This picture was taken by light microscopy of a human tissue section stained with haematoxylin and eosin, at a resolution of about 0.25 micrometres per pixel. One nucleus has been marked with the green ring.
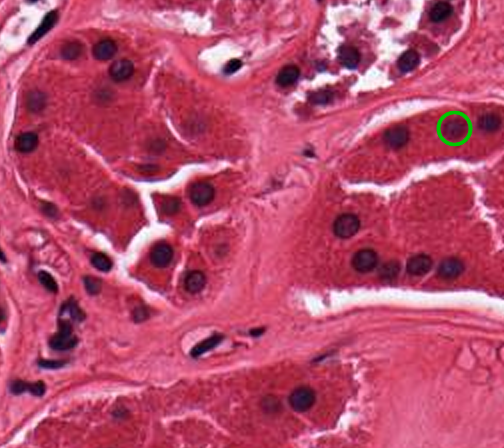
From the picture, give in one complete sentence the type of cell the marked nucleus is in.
The marked nucleus is seen to belong to a proximal tubule cell.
